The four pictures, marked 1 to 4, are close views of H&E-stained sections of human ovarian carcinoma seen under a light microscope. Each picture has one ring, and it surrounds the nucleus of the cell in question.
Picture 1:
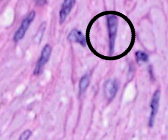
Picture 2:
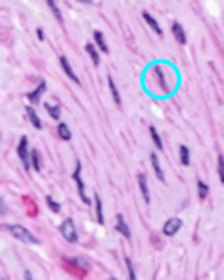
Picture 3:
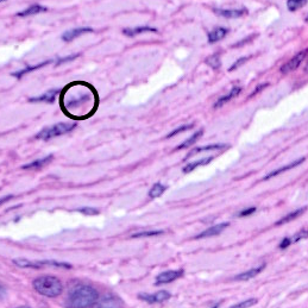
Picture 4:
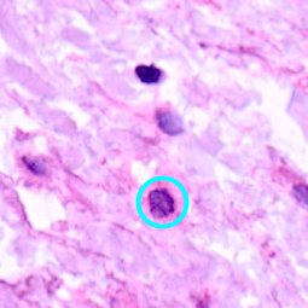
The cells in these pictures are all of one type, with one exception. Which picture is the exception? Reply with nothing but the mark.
4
